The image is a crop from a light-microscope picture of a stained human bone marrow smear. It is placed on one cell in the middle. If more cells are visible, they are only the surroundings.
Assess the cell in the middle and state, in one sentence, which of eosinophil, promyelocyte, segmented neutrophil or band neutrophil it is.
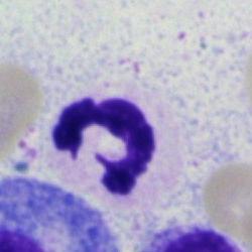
For this crop, the central cell is a segmented neutrophil.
